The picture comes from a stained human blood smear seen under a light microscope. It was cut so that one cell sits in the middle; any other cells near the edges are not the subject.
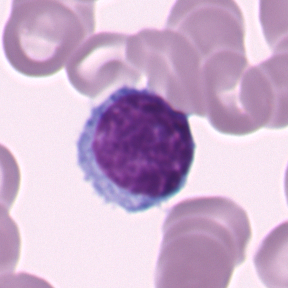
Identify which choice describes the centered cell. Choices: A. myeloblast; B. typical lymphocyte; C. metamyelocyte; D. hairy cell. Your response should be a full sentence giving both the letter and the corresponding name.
That middle cell is a typical lymphocyte, and option B is therefore correct.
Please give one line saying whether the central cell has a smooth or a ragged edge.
Projections or ragged segments give this cell an irregular rather than smooth border.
